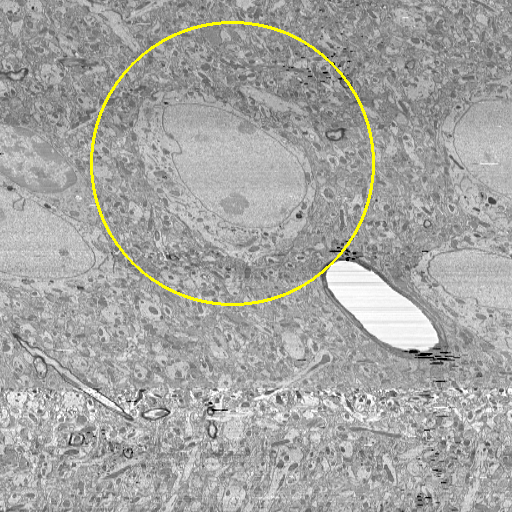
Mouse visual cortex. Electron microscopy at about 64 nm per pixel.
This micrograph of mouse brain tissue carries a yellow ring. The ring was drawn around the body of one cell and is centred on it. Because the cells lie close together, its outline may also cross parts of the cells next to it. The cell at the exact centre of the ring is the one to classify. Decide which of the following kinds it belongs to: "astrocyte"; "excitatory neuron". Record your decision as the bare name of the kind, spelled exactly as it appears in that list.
excitatory neuron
